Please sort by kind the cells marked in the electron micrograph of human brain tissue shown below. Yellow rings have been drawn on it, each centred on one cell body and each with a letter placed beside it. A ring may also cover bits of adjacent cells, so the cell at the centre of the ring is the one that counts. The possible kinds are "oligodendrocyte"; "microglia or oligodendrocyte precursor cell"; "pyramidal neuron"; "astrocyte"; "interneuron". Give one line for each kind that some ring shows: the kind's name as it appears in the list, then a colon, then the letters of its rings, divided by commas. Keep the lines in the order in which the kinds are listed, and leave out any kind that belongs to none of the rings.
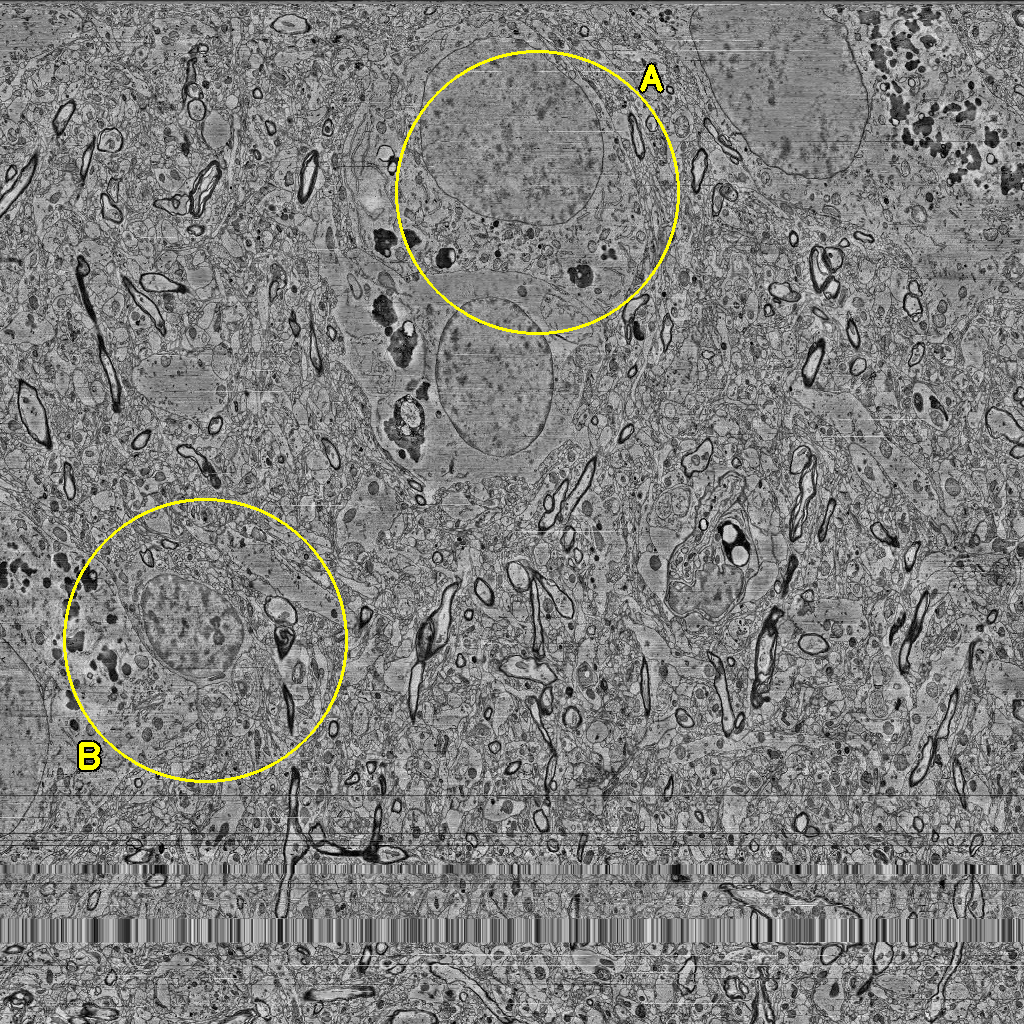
oligodendrocyte: B
pyramidal neuron: A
